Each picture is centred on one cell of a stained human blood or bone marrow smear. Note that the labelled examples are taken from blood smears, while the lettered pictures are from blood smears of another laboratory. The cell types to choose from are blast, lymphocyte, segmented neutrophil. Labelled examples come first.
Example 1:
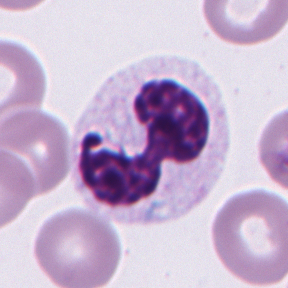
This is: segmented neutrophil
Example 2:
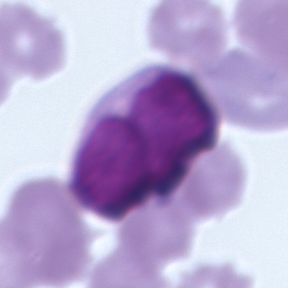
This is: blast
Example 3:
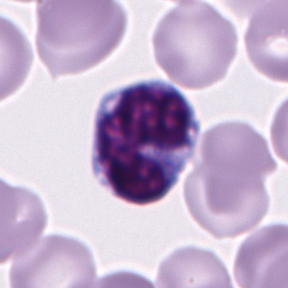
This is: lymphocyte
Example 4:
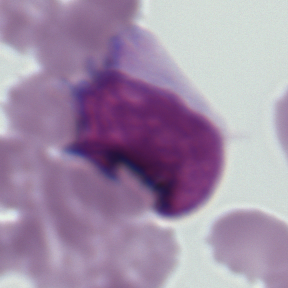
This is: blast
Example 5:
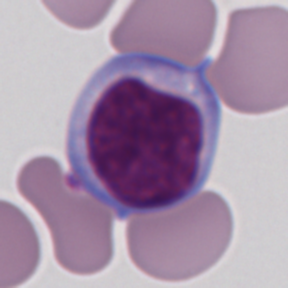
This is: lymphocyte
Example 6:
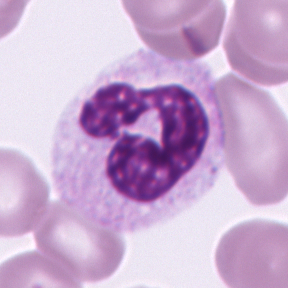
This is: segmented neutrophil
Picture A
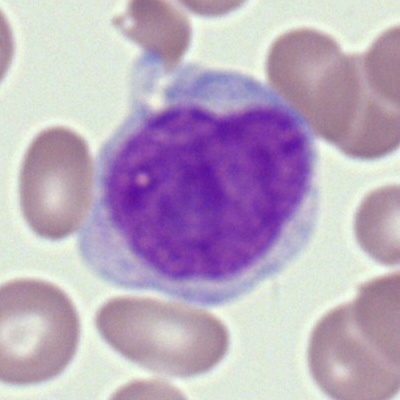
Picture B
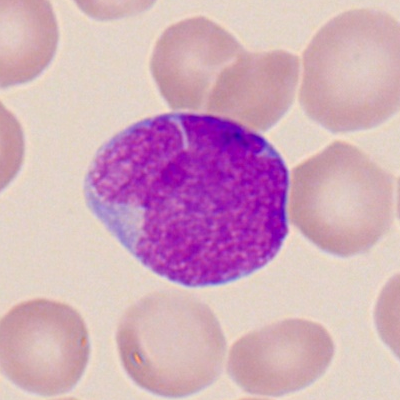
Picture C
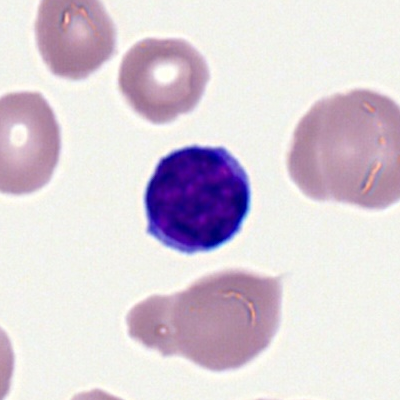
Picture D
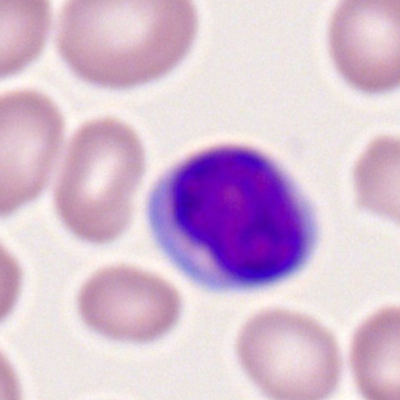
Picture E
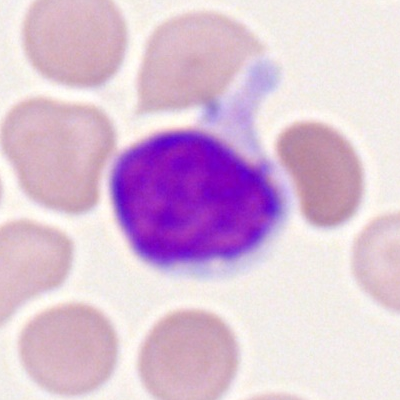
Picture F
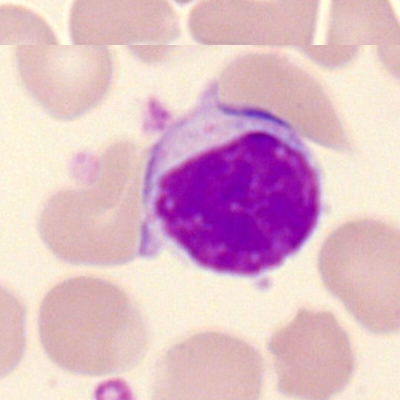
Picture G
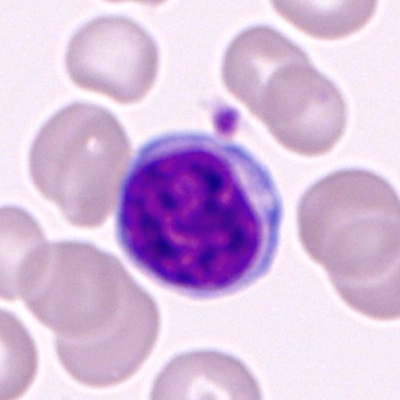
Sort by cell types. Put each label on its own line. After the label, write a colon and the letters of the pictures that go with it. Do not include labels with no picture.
blast: A, B
lymphocyte: C, D, E, F, G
